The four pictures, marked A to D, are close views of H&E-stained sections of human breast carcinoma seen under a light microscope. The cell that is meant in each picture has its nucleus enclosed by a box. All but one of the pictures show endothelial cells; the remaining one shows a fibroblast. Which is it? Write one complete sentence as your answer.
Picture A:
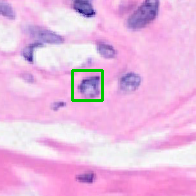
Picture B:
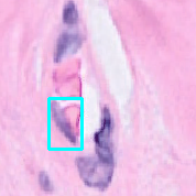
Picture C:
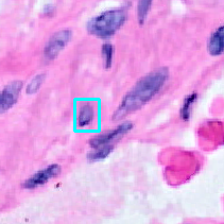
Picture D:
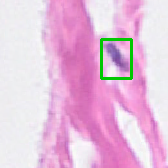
The cell in picture D is the fibroblast.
